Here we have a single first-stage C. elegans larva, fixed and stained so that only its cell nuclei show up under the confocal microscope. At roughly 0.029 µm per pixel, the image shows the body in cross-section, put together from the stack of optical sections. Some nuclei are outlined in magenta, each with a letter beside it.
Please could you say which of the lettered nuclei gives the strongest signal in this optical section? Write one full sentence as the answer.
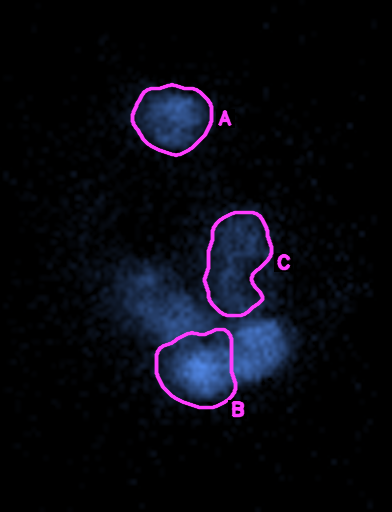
Nucleus B shows the strongest staining.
